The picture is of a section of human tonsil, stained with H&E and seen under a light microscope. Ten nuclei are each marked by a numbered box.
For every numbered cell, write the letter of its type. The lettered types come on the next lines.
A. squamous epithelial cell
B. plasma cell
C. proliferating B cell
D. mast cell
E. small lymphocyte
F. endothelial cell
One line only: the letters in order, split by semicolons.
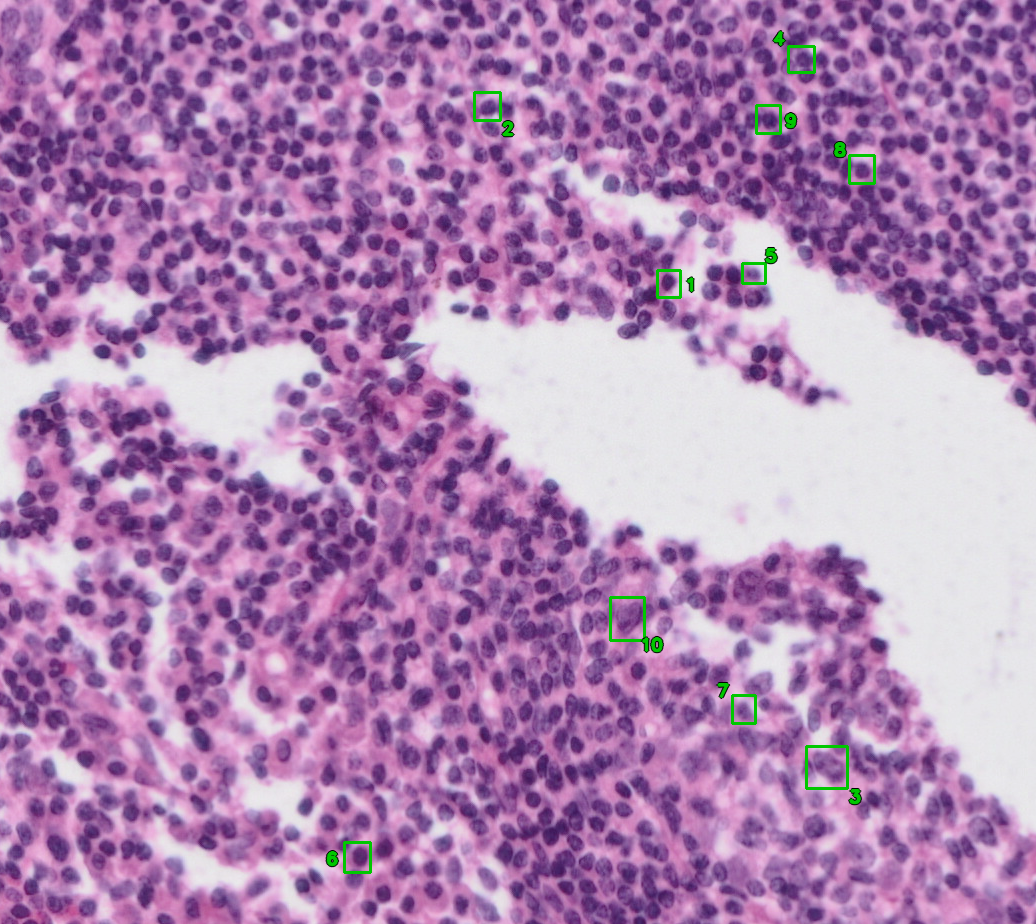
E; E; C; E; E; B; C; E; E; C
